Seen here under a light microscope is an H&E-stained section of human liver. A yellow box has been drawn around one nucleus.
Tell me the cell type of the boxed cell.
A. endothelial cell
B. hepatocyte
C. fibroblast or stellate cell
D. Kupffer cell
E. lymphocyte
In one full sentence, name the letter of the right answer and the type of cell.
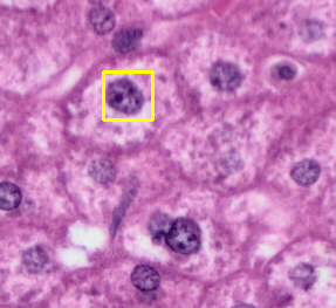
On this slide, the boxed cell is a hepatocyte, so option B is right.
